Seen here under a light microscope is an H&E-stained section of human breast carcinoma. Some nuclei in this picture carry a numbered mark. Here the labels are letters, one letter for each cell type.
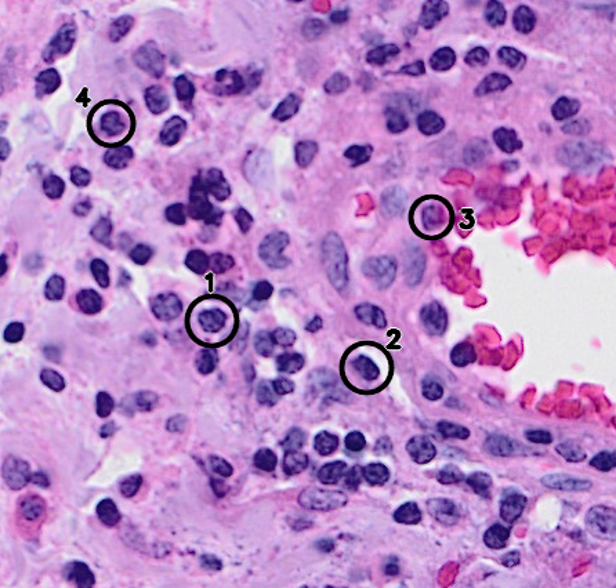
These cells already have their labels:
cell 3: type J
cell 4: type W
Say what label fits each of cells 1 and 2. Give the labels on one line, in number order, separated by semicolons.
type W; type W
